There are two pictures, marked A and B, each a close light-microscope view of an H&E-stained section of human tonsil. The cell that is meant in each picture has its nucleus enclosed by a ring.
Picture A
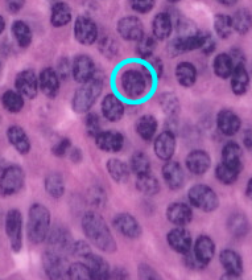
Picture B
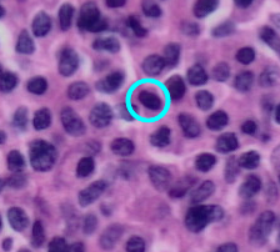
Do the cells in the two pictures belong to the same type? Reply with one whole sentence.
Yes, the two pictures both show plasma cells.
